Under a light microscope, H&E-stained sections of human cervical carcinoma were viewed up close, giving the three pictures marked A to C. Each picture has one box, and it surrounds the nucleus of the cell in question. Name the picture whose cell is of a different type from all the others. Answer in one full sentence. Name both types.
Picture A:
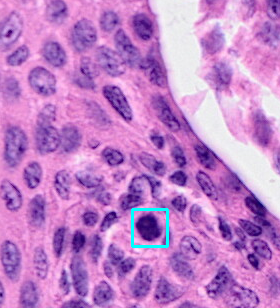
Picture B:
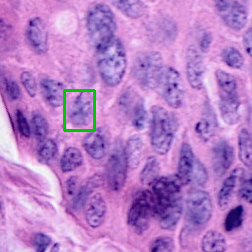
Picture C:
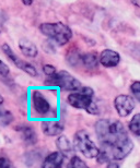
Picture C differs, because its cell is a lymphocyte and the rest are squamous carcinoma cells.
